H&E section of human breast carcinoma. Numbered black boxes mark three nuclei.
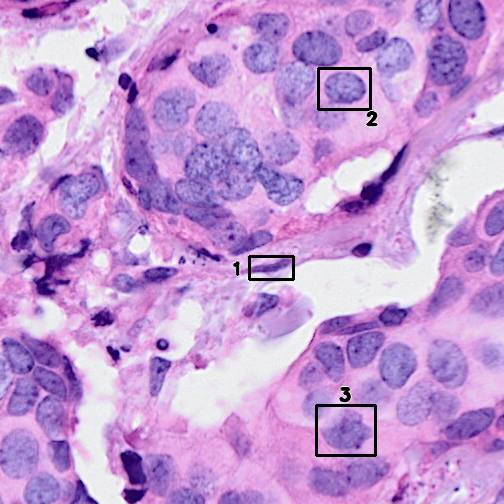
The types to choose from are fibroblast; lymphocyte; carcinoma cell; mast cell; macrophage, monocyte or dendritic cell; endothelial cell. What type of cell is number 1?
fibroblast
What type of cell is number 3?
carcinoma cell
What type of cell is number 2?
carcinoma cell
